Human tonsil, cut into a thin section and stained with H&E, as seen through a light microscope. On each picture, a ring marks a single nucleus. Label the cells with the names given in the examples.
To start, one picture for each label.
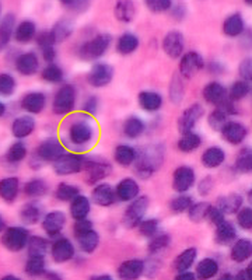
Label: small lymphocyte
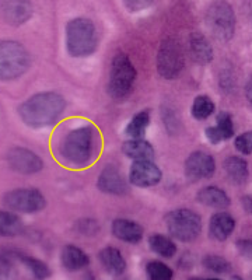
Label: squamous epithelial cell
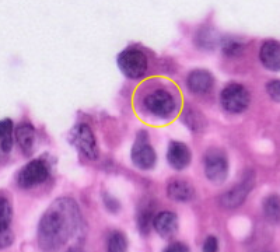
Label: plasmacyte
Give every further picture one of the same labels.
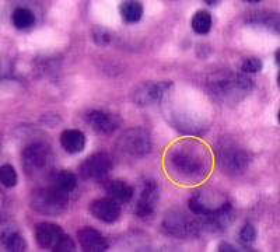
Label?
squamous epithelial cell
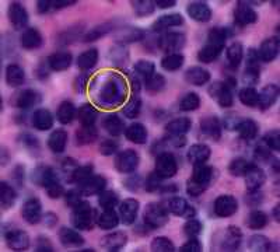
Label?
small lymphocyte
